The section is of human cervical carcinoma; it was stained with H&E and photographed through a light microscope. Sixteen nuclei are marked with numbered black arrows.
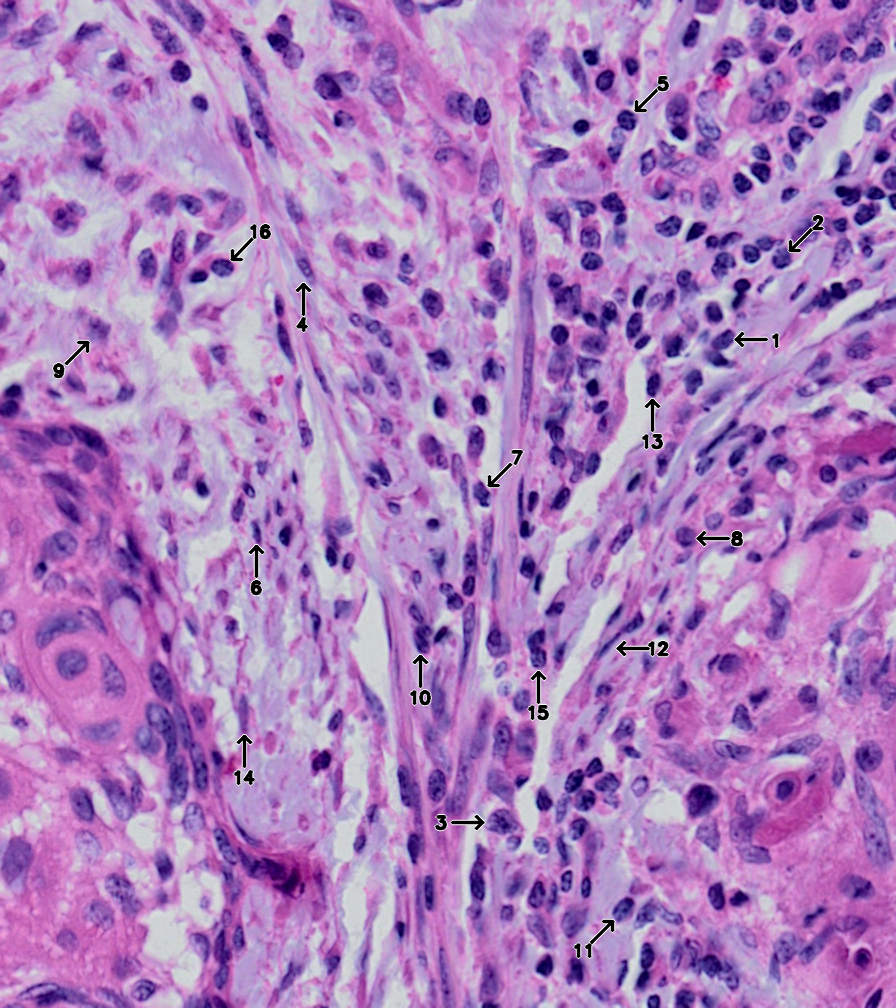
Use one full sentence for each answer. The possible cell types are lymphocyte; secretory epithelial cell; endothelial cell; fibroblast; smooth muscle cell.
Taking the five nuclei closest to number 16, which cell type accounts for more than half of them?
Around number 16, most of the five nearest nuclei are those of fibroblasts.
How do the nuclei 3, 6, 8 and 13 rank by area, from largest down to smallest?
Going from the biggest nucleus down to the smallest gives 3, 8, 13, 6.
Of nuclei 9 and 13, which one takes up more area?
Nucleus 9 covers more area, about 1.5 times as much as nucleus 13.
